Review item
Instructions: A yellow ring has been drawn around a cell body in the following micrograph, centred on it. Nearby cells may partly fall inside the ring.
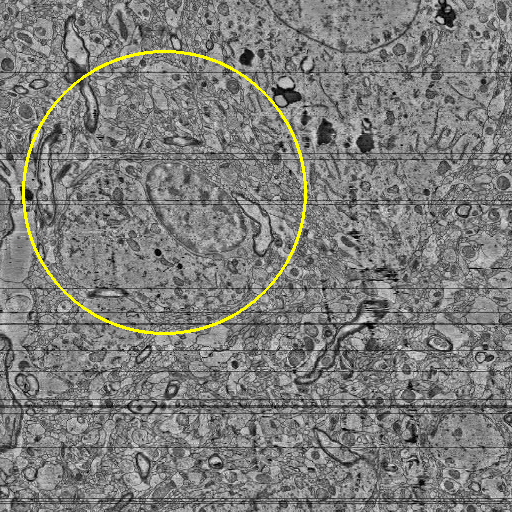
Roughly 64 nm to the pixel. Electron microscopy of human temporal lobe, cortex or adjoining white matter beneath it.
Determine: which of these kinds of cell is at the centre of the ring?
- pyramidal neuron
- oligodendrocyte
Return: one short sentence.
The cell body in the middle of the ring is that of an oligodendrocyte.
